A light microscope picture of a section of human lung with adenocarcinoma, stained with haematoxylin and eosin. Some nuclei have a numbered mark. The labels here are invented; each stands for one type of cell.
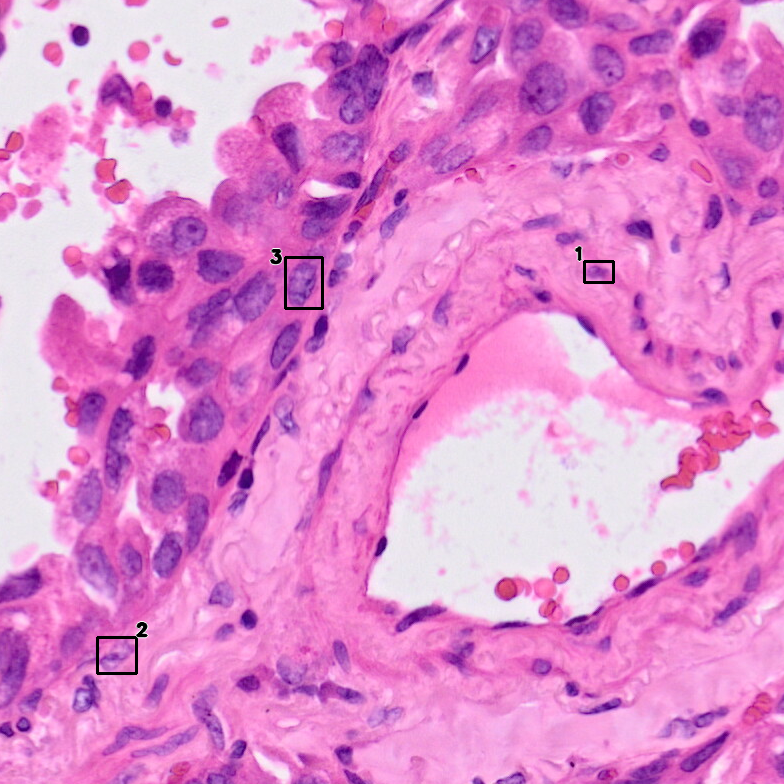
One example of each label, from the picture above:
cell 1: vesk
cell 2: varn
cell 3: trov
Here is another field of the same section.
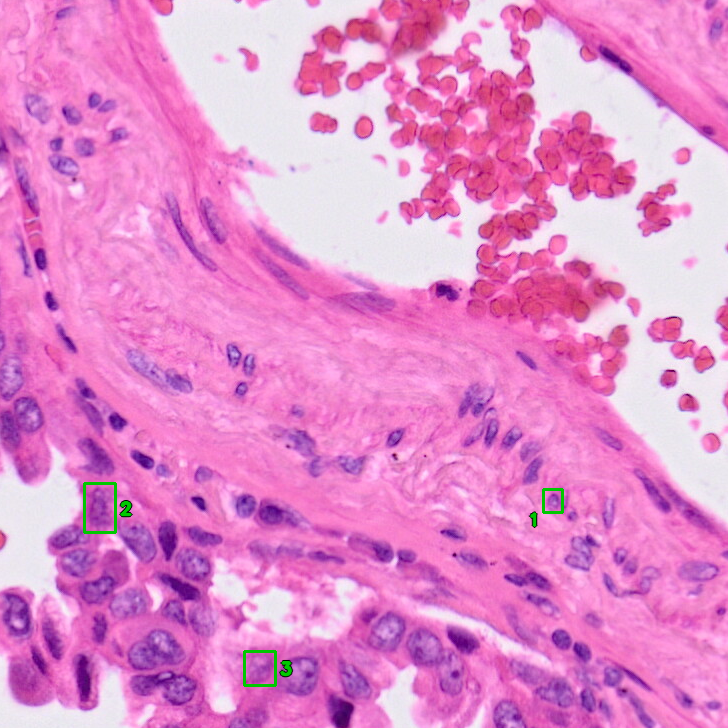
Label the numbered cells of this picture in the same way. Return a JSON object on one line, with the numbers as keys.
{"1": "vesk", "2": "trov", "3": "trov"}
